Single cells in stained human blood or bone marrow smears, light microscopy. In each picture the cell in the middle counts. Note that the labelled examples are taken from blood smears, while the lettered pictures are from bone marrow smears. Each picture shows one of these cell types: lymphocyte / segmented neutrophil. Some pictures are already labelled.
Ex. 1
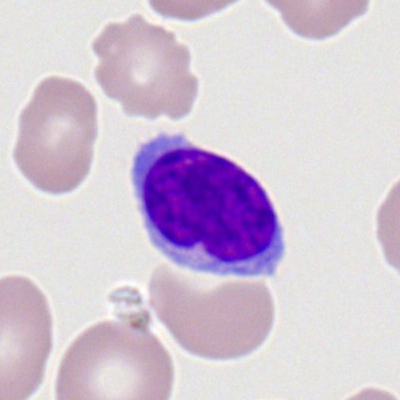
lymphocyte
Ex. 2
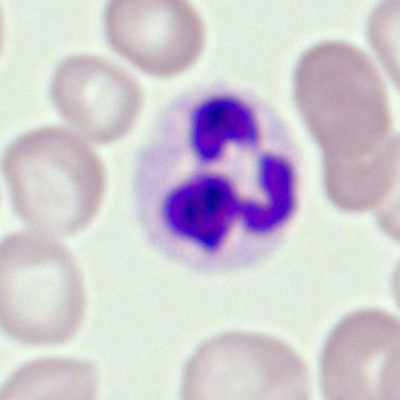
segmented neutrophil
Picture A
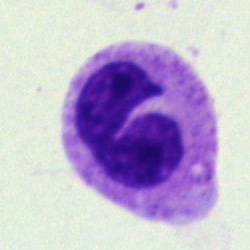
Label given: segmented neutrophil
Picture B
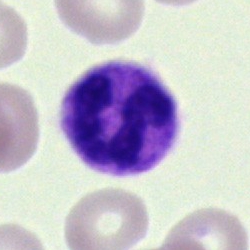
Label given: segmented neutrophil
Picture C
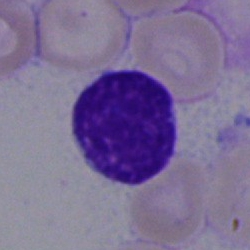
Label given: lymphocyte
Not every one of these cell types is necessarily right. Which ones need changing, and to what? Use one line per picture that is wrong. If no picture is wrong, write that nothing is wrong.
No label is wrong.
